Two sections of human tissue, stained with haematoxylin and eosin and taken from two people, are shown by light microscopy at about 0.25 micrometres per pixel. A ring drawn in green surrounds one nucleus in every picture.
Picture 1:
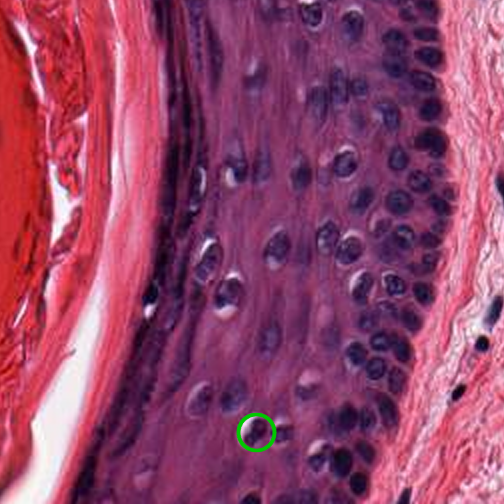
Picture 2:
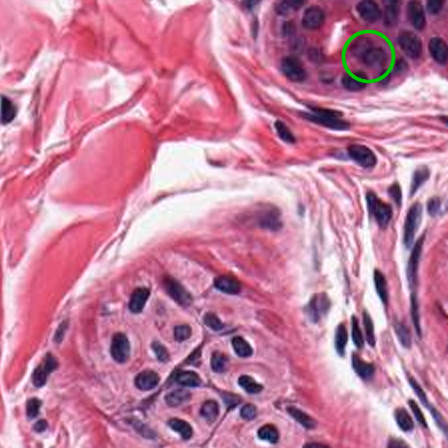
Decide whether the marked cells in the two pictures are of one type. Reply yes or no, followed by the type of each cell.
No, the first is a keratinocyte and the second a sweat gland cell.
